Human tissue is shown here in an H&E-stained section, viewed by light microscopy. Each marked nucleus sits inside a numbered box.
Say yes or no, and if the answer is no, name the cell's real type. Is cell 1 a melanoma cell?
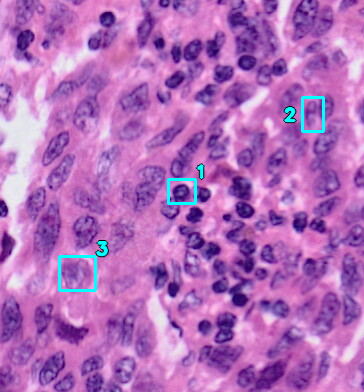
No, it is a lymphocyte.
